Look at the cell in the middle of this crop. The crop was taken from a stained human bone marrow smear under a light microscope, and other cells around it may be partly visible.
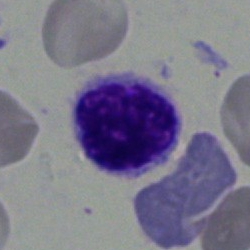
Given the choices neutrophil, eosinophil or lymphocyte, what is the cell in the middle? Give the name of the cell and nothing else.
lymphocyte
